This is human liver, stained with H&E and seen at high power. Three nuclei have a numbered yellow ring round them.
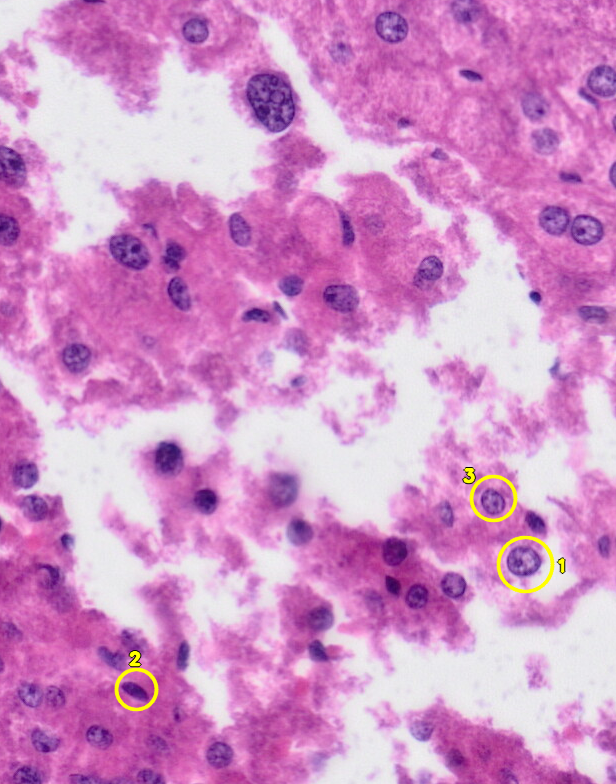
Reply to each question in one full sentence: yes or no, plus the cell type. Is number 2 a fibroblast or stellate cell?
Yes, the cell denoted by 2 is a fibroblast or stellate cell.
